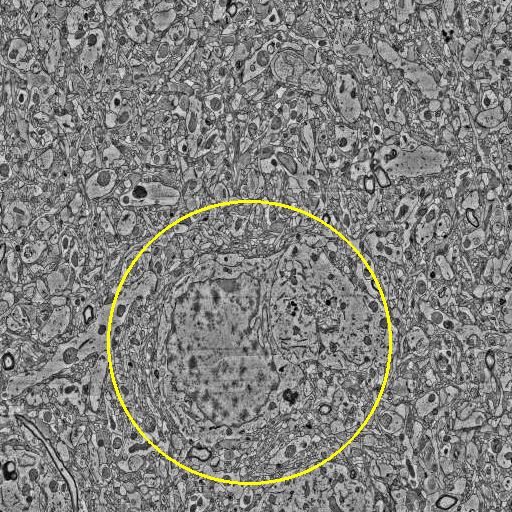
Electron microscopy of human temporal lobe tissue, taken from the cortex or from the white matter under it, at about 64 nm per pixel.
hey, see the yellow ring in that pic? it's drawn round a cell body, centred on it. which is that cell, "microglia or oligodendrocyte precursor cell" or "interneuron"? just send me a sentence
The cell in the ring is an interneuron.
